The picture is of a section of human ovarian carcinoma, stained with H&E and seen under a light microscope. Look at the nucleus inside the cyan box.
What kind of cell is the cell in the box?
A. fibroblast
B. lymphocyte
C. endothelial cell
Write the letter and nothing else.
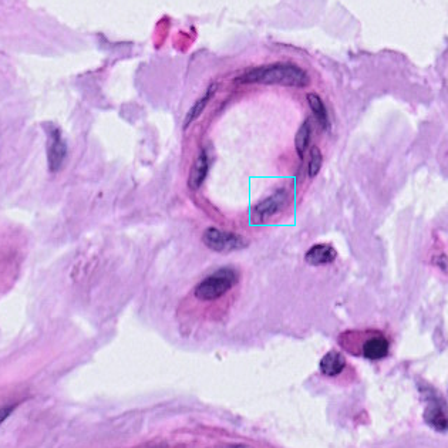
C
